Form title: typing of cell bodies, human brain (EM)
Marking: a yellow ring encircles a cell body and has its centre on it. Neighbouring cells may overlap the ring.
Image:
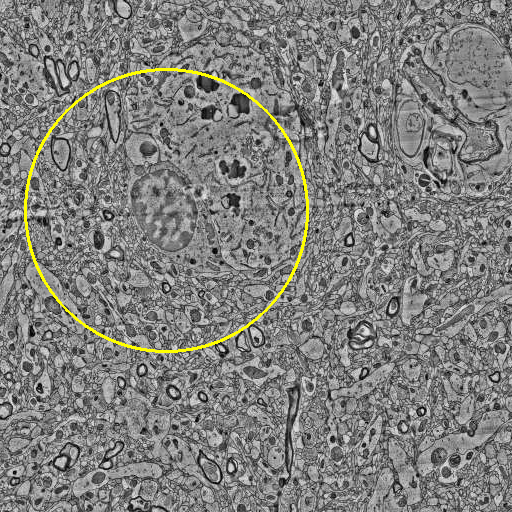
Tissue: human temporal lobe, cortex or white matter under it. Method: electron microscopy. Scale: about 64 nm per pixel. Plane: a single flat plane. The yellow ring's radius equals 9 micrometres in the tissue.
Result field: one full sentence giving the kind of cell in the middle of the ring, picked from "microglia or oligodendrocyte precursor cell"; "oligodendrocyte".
In the picture, the ring is centred on an oligodendrocyte, whose cell body it encircles.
